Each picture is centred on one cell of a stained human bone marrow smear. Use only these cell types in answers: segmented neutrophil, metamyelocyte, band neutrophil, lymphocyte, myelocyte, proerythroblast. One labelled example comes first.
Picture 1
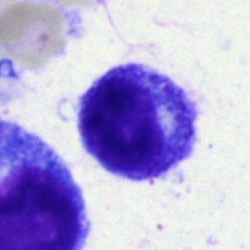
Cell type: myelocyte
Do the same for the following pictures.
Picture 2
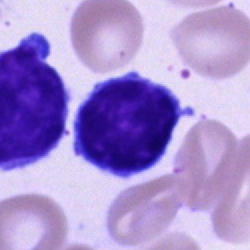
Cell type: lymphocyte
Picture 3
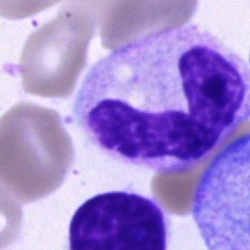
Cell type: band neutrophil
